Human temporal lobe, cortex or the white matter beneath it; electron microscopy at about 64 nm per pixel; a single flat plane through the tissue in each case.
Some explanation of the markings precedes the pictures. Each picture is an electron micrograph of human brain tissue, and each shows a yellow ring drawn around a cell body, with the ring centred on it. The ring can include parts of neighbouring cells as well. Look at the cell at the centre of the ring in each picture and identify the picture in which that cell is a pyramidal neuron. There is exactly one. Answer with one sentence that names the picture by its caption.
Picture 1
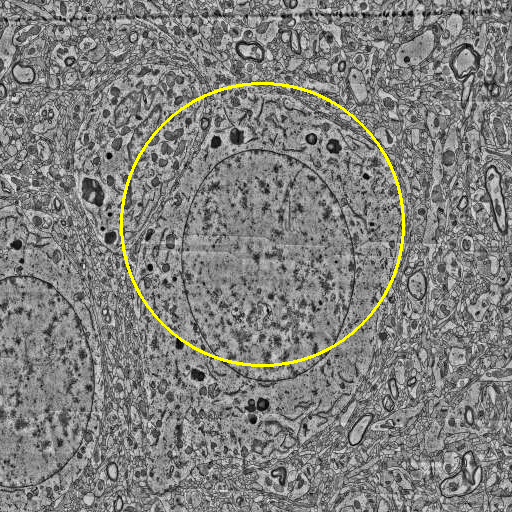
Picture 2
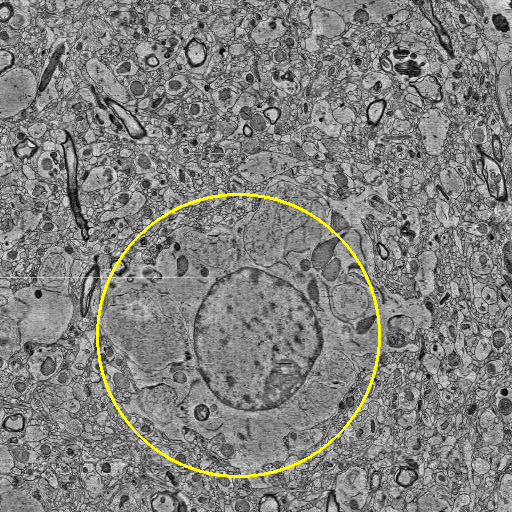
In Picture 1, the cell at the centre of the ring is of that kind.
